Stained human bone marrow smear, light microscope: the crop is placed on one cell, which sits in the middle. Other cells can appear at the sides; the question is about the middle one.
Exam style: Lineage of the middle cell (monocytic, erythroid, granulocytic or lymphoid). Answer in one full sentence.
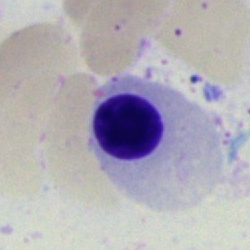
The cell at the center belongs, by lineage, to the erythroid line.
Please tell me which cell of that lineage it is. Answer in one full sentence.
The single cell at the center of the crop is an erythroblast.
